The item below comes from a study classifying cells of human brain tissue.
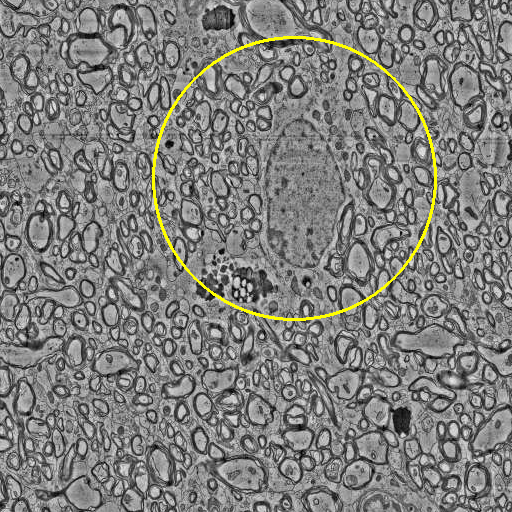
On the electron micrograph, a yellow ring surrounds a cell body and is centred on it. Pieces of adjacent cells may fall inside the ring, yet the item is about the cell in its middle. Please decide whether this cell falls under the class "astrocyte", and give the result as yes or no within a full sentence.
Yes, the cell at the middle of the ring on the micrograph belongs in that class.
